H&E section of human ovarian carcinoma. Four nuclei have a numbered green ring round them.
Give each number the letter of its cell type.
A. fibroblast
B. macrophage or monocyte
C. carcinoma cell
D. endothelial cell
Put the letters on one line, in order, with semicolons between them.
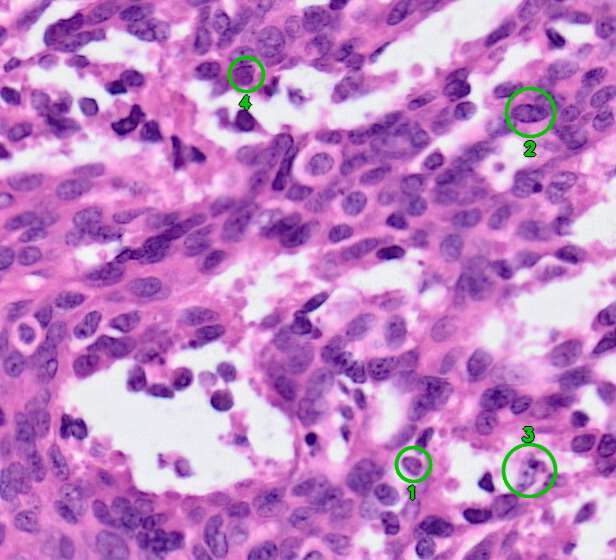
C; C; B; C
